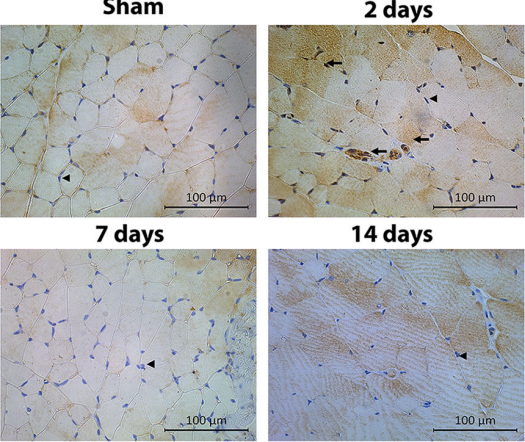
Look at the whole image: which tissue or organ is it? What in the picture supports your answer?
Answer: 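Muscle. Tightly packed polygonal fibres in cross-section. Flattened nuclei lie at the edges of the fibres. Faint cross-striations in some fibres.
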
